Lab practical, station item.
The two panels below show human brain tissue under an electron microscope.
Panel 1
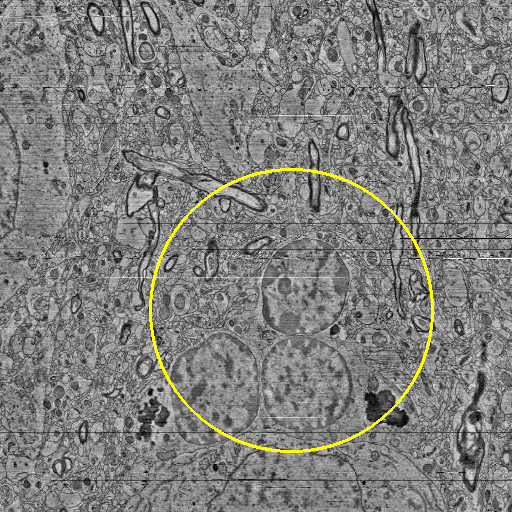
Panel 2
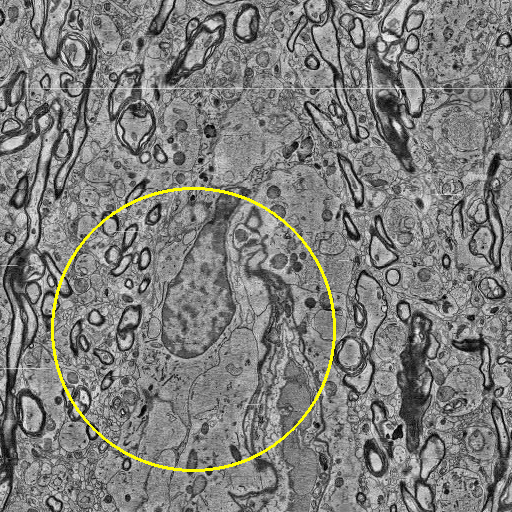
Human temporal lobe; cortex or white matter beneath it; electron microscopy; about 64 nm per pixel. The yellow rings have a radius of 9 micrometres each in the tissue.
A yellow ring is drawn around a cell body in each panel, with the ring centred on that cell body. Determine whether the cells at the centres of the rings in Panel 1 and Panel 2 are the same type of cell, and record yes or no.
yes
